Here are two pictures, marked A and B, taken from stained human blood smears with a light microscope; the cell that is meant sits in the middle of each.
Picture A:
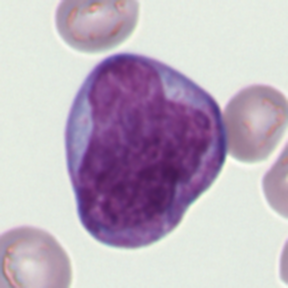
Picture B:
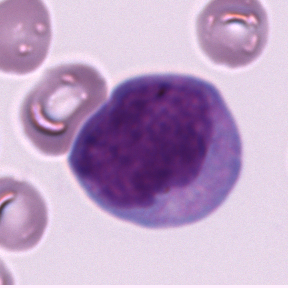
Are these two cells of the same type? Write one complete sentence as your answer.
Yes; the cells in both pictures are atypical promyelocytes.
